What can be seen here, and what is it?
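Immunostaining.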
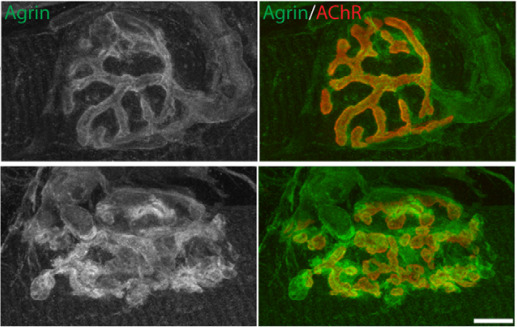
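En face views of neuromuscular junctions on skeletal muscle fibres, grey single-channel images beside red-green merges. Upper row: a compact endplate of continuous branched red bands forming a pretzel shape, the green stain lying tightly along the branches. Lower row: the red is split into many short, rounded fragments; the green is brighter and spread more widely, filling spaces between fragments and extending over surrounding fibre surface in a cloudy layer rather than outlining the branches.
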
